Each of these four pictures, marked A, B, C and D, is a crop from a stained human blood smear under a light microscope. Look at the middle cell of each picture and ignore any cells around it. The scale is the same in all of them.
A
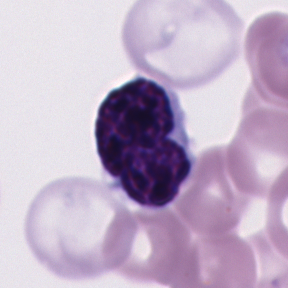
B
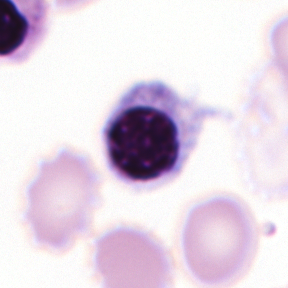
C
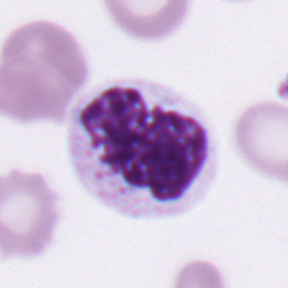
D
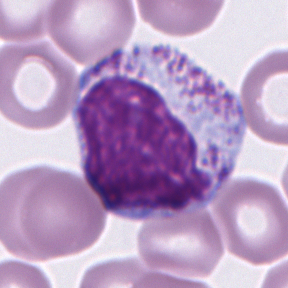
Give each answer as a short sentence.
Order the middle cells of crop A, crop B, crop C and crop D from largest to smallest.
Largest first: D, C, A, B.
